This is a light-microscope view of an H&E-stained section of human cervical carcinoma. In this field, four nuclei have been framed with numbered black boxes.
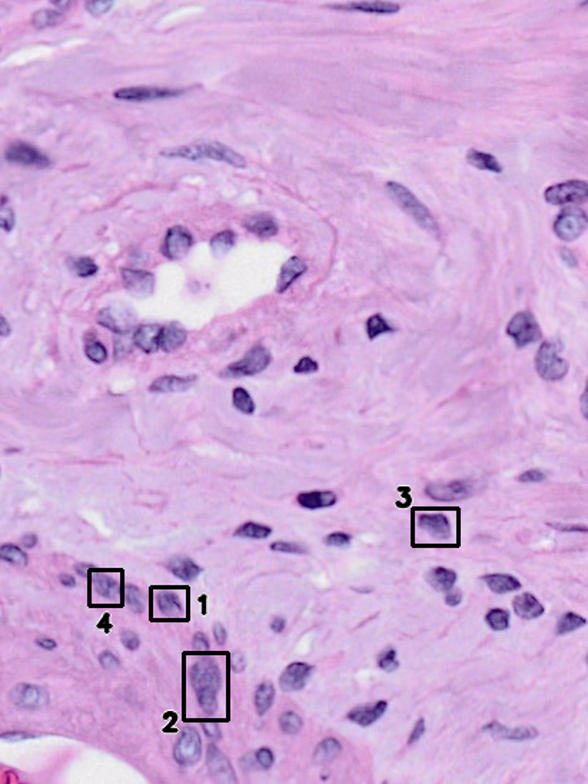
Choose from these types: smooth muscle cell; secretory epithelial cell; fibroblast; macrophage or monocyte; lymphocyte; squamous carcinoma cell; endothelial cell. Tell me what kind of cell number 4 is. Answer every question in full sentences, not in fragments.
In this section, the cell tagged 4 is a smooth muscle cell.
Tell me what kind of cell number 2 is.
Cell 2 in the field is a smooth muscle cell.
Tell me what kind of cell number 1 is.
The cell marked with number 1 is a smooth muscle cell.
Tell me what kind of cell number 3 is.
That cell with number 3 is a fibroblast.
